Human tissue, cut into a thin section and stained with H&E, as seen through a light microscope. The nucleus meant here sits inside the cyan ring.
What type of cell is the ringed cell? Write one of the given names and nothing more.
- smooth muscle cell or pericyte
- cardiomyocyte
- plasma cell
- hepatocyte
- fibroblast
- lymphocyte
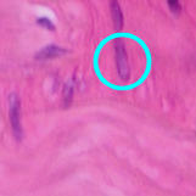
smooth muscle cell or pericyte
